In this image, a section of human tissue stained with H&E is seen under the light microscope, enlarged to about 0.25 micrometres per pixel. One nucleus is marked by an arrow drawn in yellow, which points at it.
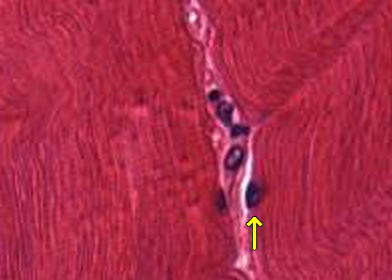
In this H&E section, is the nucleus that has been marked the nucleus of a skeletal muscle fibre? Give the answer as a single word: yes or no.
yes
